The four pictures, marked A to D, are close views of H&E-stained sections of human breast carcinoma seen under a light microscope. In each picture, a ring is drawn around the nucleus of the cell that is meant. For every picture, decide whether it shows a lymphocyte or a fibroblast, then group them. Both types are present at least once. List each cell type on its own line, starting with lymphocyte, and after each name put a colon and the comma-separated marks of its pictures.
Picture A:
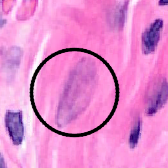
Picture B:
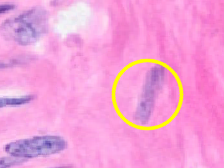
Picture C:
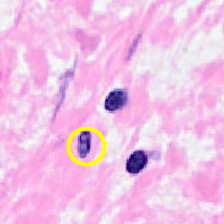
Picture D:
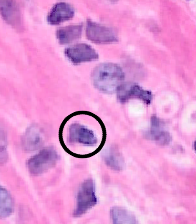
lymphocyte: C, D
fibroblast: A, B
